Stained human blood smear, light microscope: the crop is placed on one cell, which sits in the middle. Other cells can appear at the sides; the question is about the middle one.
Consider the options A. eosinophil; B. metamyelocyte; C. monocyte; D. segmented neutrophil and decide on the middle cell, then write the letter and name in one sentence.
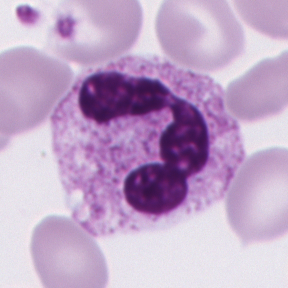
The cell in the center of this crop is a segmented neutrophil, so option D is the one to pick.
